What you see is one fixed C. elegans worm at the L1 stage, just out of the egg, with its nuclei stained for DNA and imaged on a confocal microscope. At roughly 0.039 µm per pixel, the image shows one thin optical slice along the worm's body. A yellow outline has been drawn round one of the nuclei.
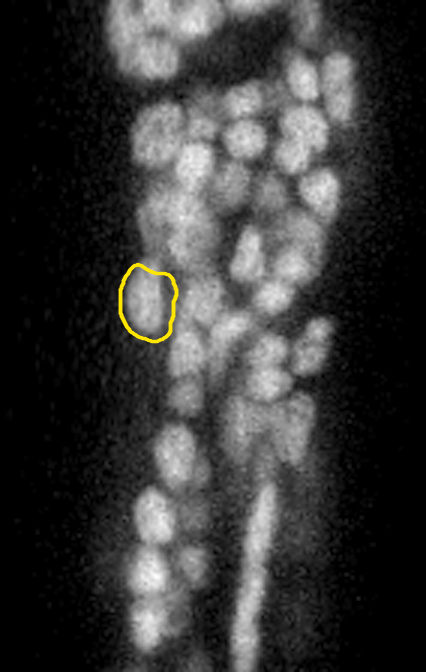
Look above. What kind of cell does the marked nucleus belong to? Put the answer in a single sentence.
What is marked is the nucleus of a neuron.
